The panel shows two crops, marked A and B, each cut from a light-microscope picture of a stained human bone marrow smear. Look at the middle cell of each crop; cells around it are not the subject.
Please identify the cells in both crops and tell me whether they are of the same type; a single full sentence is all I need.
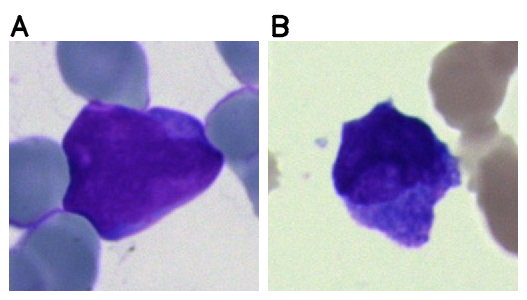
Yes, the cells under consideration in both crops are blasts.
